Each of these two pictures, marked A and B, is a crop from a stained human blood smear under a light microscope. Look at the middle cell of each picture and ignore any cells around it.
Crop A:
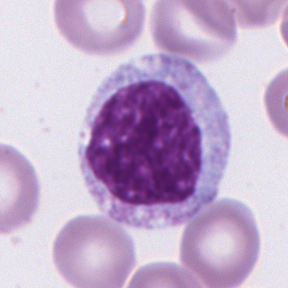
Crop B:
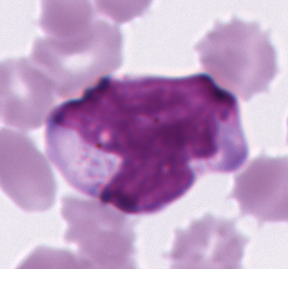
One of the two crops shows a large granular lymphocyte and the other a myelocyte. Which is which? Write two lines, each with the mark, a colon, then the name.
A: myelocyte
B: large granular lymphocyte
